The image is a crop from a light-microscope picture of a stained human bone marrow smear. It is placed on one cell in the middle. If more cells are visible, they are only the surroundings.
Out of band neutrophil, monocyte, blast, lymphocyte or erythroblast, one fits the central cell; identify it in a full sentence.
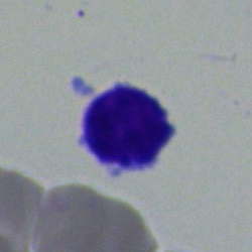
The middle position in this crop is taken by a lymphocyte.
